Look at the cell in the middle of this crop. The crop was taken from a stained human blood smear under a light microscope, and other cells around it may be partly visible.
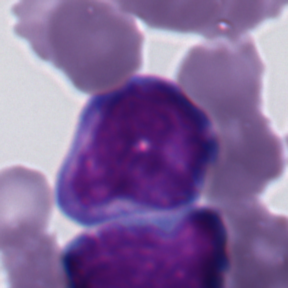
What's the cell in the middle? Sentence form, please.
The cell in the middle of the field of view is a myeloblast.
